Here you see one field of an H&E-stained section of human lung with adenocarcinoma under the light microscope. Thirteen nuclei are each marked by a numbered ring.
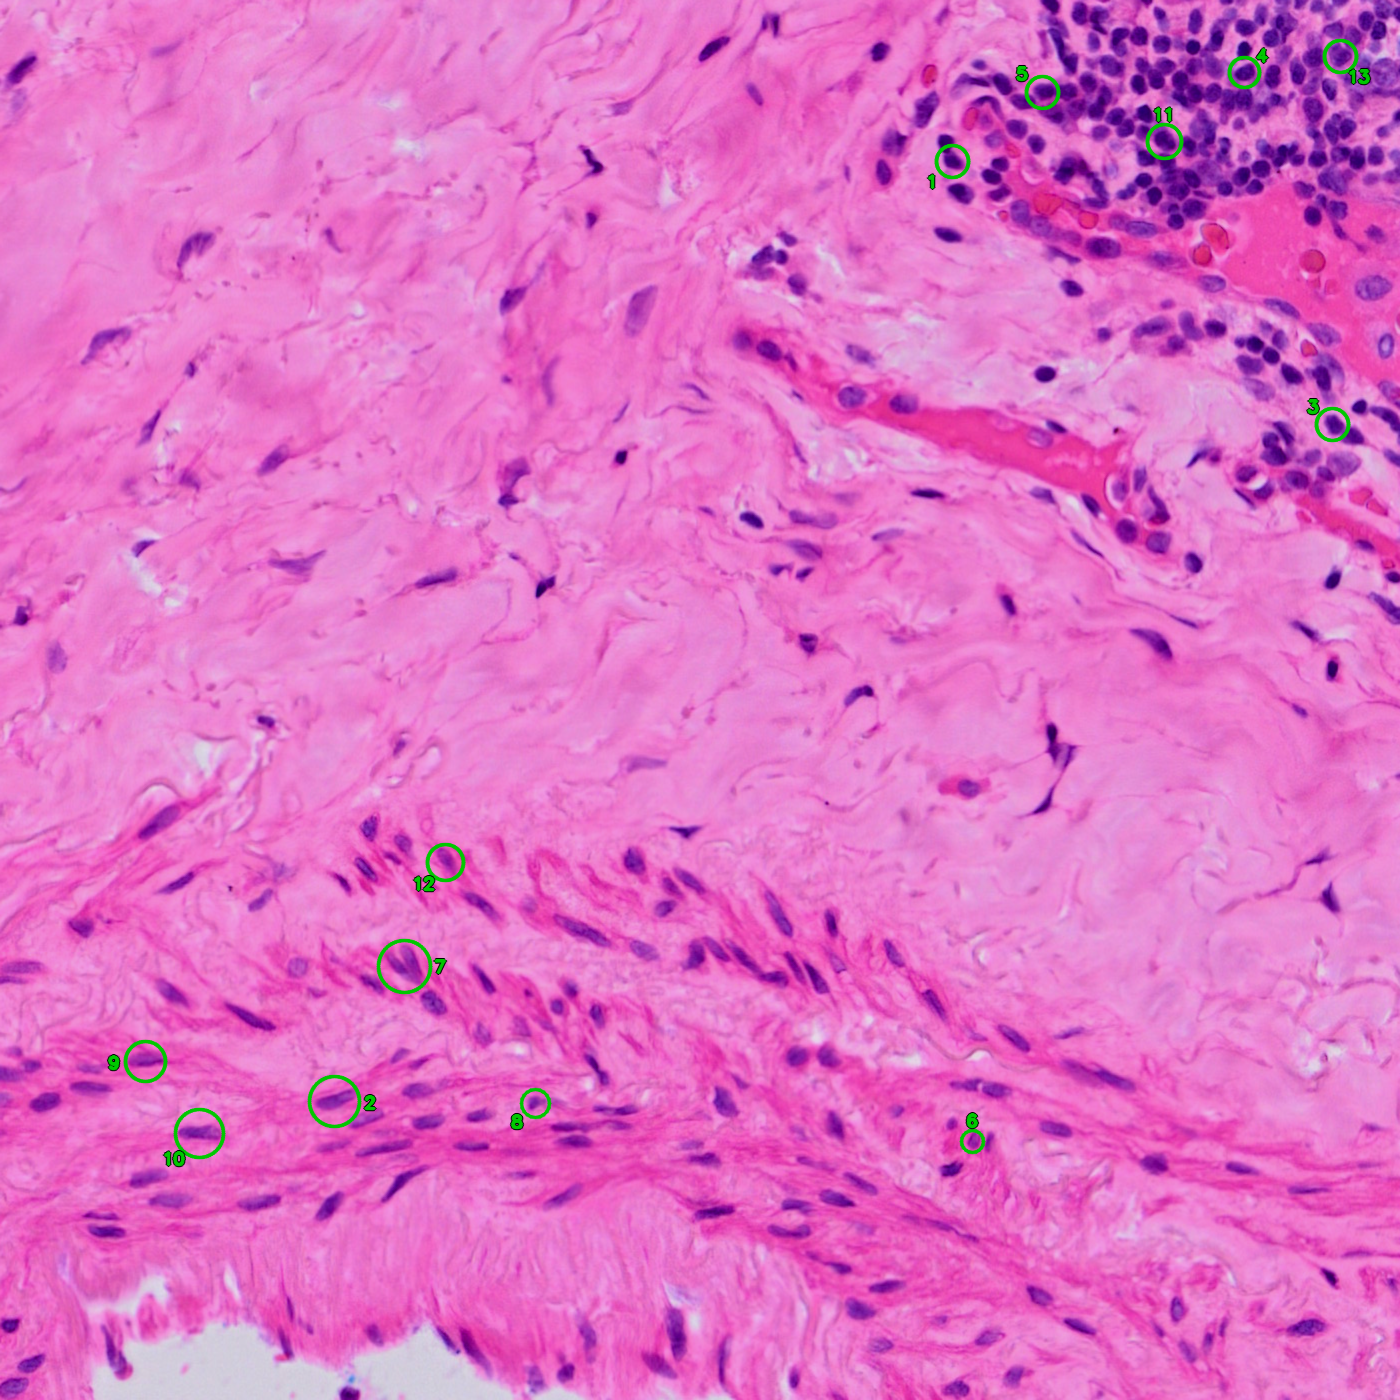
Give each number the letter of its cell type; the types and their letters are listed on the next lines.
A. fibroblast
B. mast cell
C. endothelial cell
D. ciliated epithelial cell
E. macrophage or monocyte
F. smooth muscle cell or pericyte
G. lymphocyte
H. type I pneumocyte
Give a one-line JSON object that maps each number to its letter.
{"1": "G", "2": "F", "3": "G", "4": "G", "5": "G", "6": "F", "7": "F", "8": "F", "9": "F", "10": "F", "11": "G", "12": "F", "13": "G"}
